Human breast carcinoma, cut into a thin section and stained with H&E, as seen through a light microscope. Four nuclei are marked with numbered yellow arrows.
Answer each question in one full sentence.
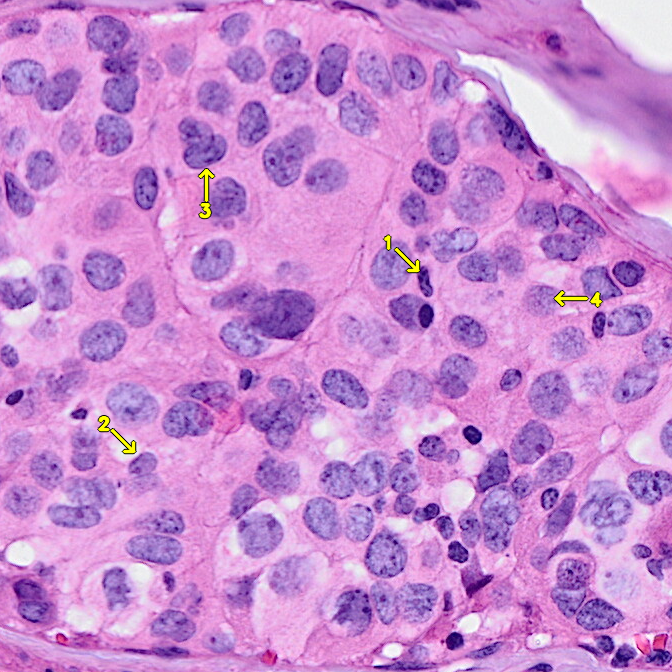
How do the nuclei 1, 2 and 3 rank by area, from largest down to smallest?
By area, largest first, they run 3, 2, 1.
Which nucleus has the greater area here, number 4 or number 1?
Number 4 is larger; its area is about 1.5 times that of number 1.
